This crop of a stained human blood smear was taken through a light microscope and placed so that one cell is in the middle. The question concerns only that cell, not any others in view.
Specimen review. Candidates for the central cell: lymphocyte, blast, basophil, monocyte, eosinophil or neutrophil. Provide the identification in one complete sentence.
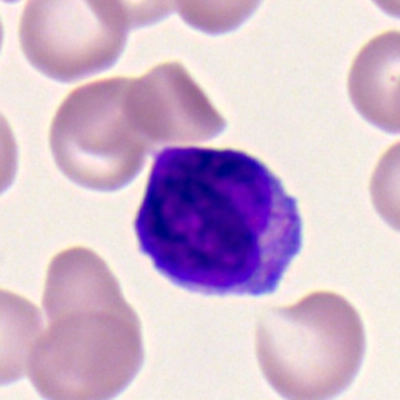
Classification of the middle cell gives a blast.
